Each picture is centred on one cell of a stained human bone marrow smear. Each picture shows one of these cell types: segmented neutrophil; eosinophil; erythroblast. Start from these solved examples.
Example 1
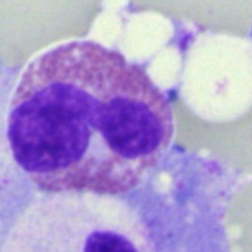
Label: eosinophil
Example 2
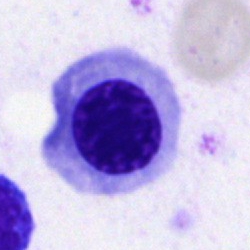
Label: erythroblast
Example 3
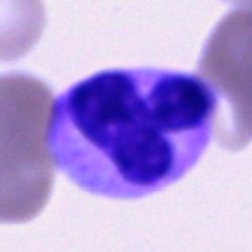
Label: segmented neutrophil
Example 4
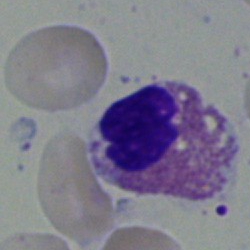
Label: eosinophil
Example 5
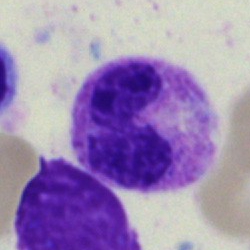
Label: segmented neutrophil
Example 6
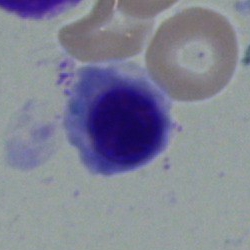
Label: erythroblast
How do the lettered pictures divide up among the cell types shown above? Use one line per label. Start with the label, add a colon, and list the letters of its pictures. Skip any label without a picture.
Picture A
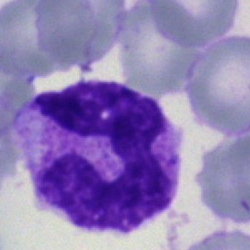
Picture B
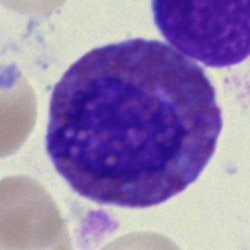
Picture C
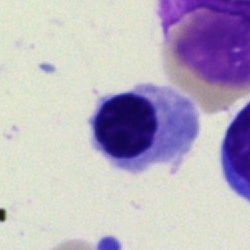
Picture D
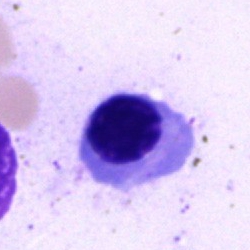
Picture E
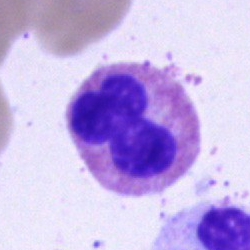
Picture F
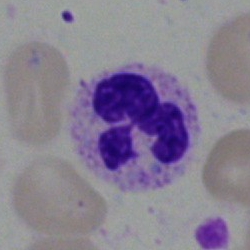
segmented neutrophil: A, F
eosinophil: B, E
erythroblast: C, D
